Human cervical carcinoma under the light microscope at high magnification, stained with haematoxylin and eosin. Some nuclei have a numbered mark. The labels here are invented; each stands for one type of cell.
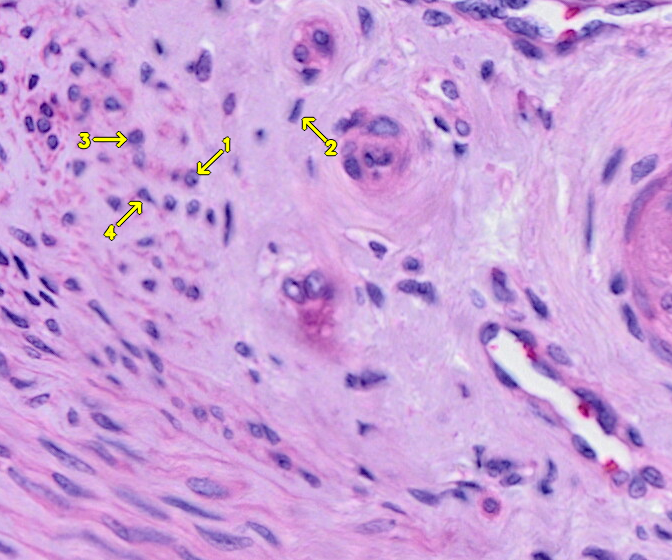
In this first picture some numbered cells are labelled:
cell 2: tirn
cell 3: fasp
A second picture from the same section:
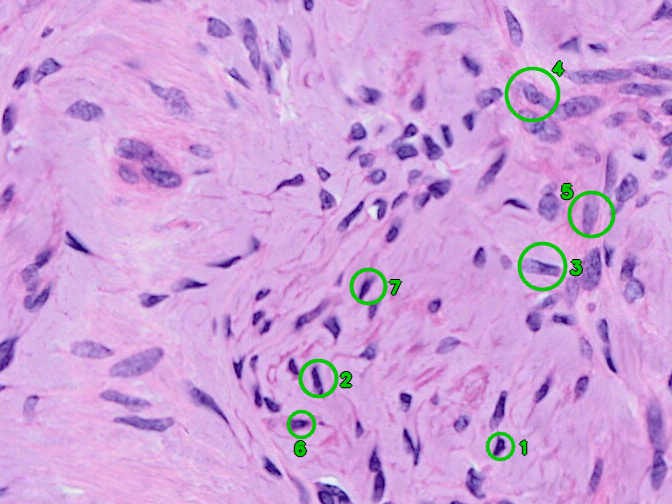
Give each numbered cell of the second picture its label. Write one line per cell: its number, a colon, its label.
1: tirn
2: tirn
3: tirn
4: fasp
5: fasp
6: fasp
7: tirn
